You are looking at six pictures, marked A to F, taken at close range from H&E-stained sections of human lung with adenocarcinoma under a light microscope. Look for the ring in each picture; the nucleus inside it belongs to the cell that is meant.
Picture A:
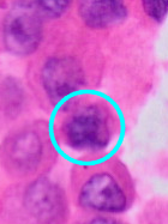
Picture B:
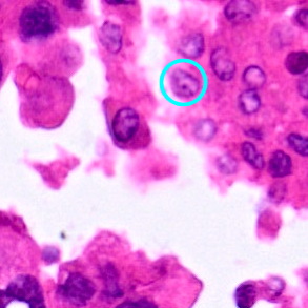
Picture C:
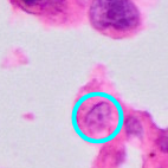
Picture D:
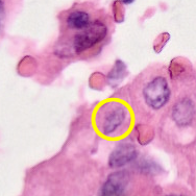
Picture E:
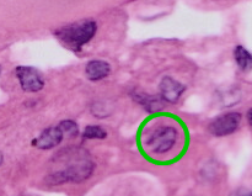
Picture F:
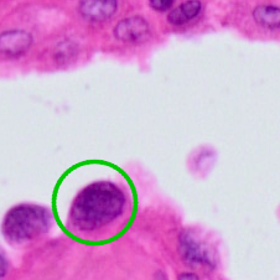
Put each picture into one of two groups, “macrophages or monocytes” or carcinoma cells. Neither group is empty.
A: carcinoma cell
B: macrophage or monocyte
C: macrophage or monocyte
D: macrophage or monocyte
E: macrophage or monocyte
F: carcinoma cell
